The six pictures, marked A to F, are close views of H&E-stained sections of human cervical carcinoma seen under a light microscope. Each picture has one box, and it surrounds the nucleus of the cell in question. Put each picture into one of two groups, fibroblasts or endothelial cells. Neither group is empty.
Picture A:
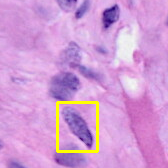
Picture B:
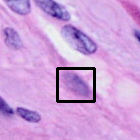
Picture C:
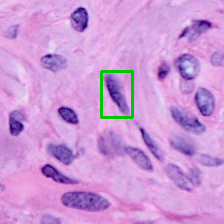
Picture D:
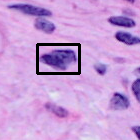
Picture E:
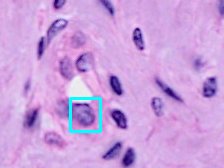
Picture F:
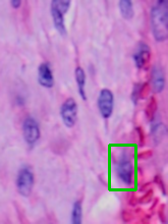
A: fibroblast
B: endothelial cell
C: fibroblast
D: fibroblast
E: endothelial cell
F: endothelial cell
